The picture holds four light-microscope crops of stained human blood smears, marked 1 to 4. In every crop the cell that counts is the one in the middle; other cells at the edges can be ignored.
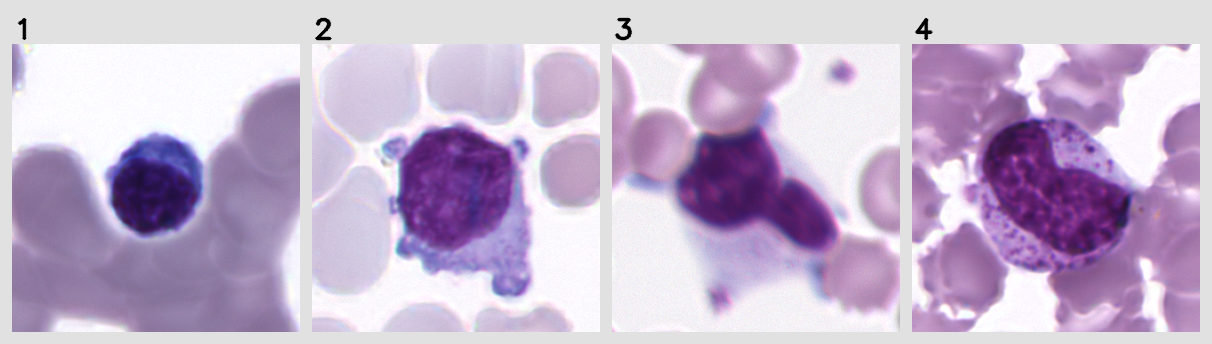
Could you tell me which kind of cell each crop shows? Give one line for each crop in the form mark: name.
1: plasma cell
2: plasma cell
3: monocyte
4: metamyelocyte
